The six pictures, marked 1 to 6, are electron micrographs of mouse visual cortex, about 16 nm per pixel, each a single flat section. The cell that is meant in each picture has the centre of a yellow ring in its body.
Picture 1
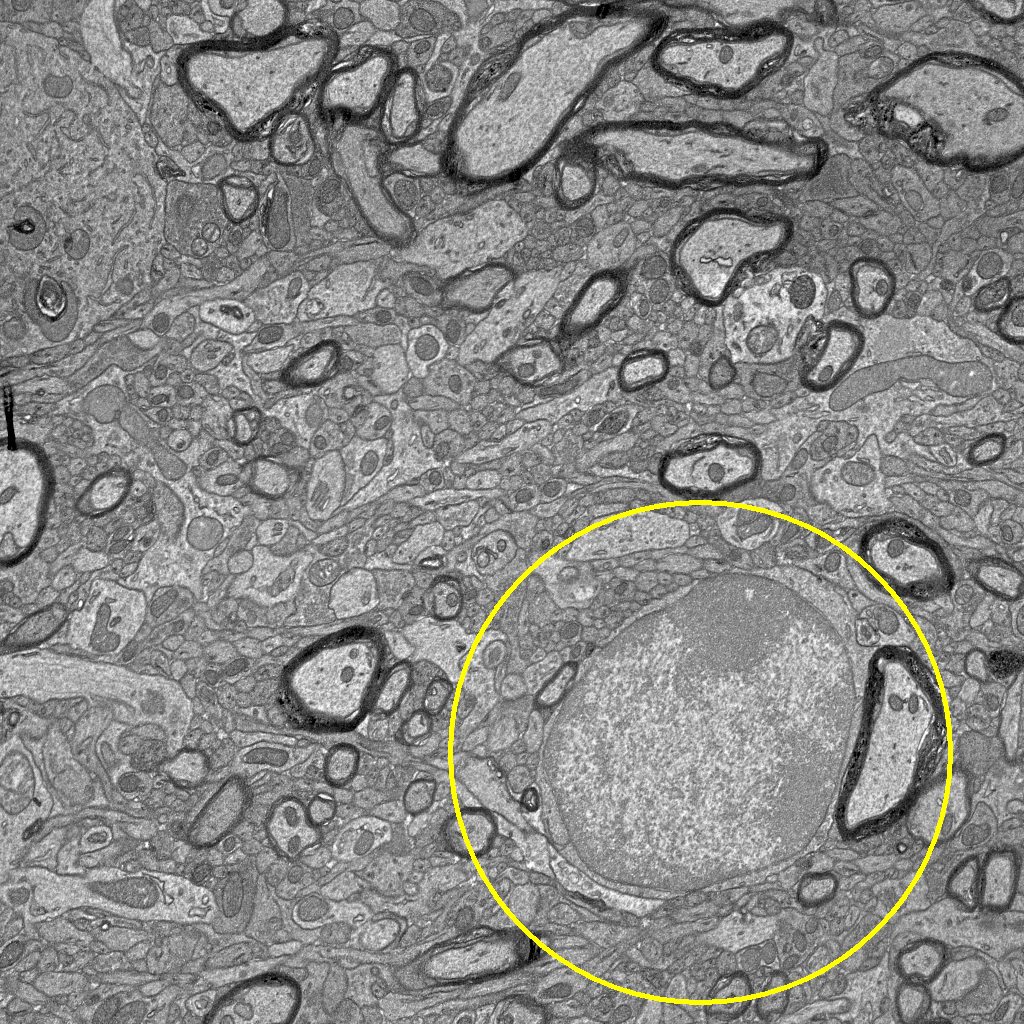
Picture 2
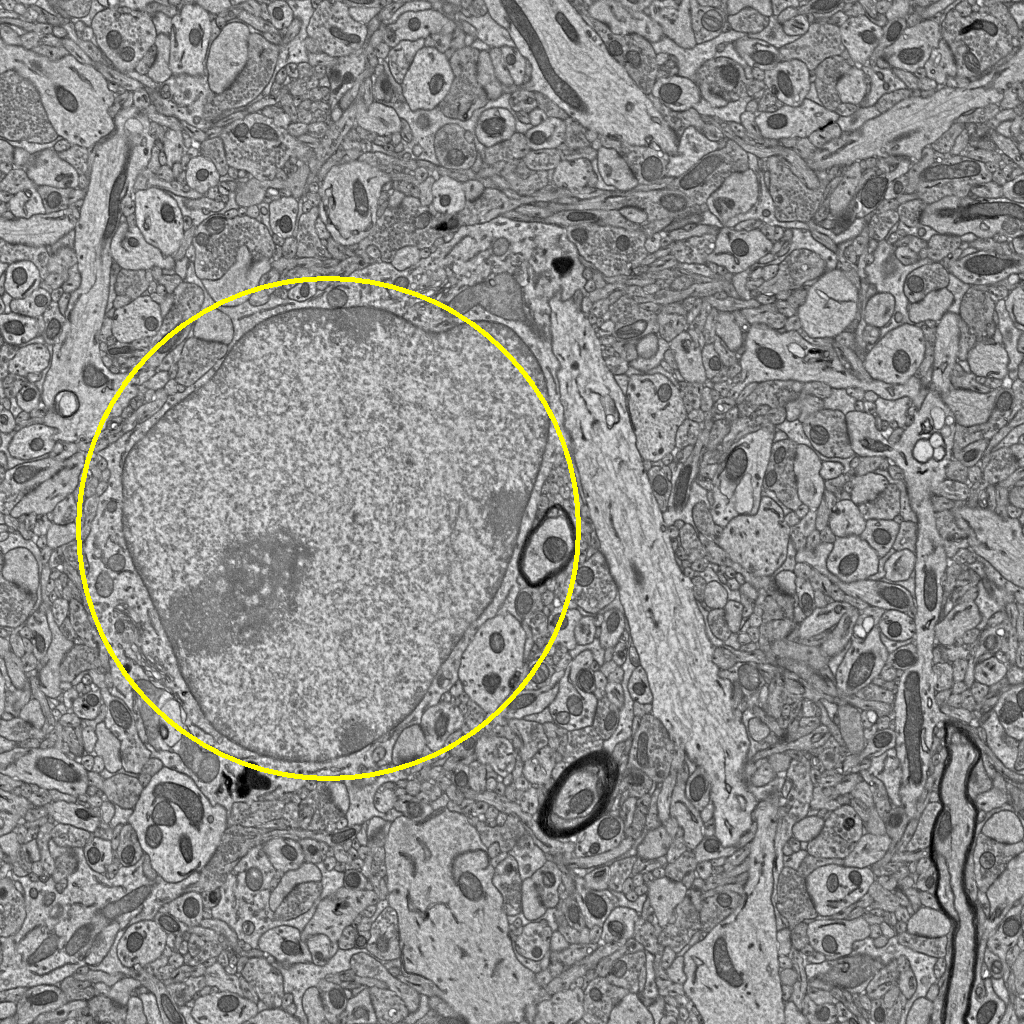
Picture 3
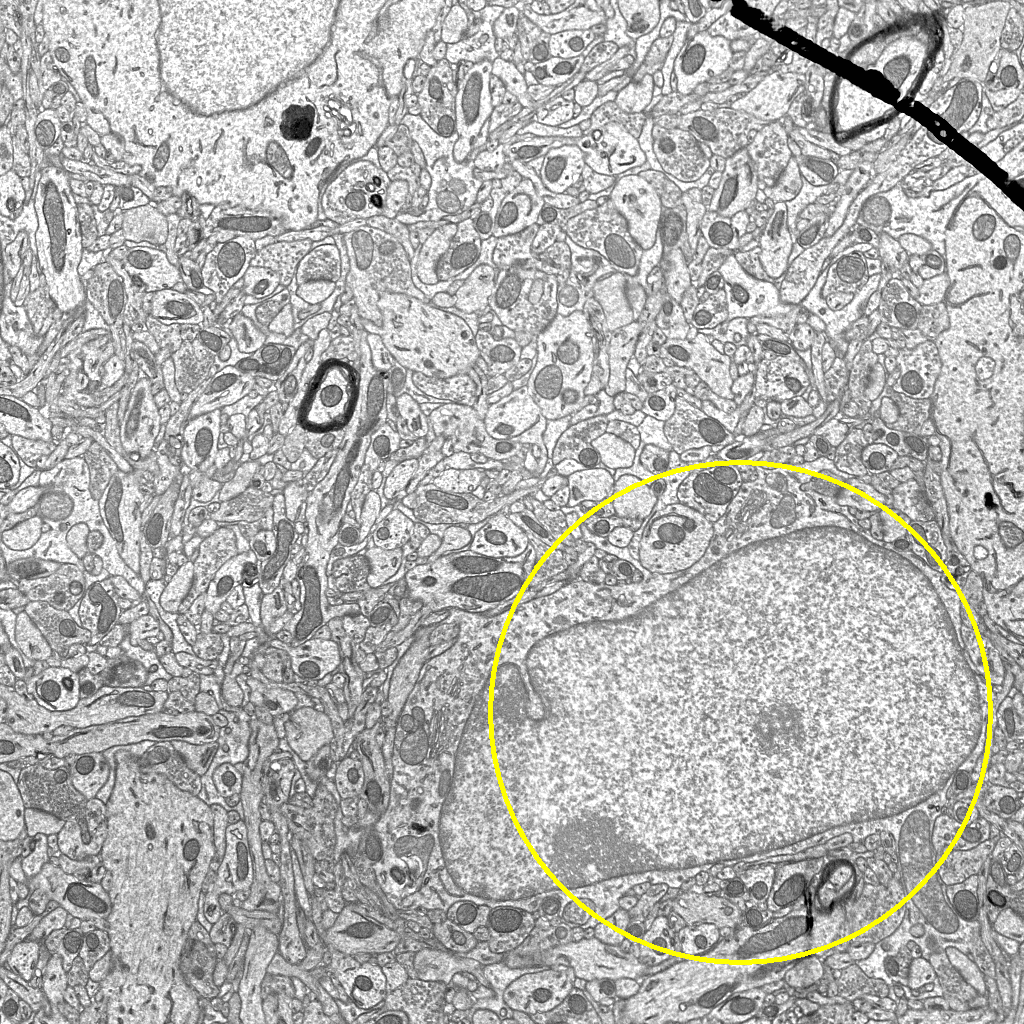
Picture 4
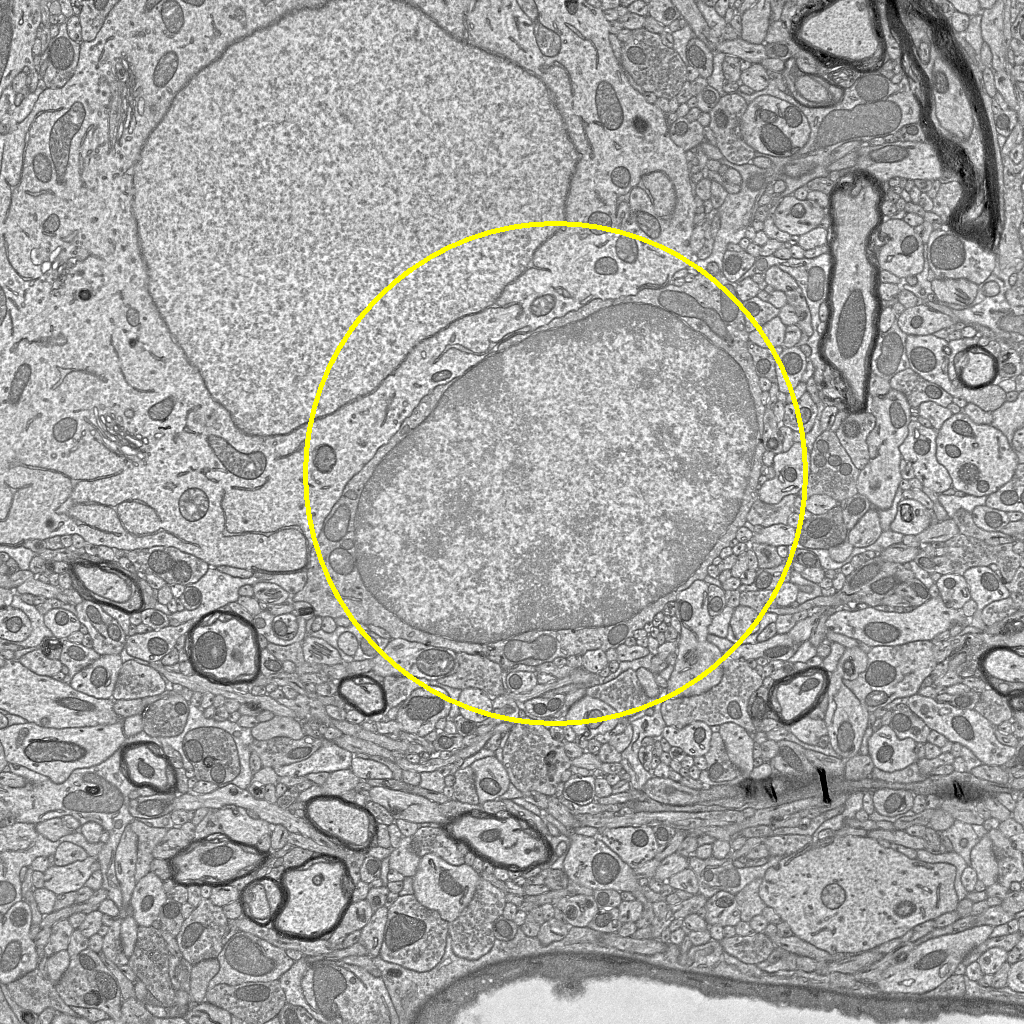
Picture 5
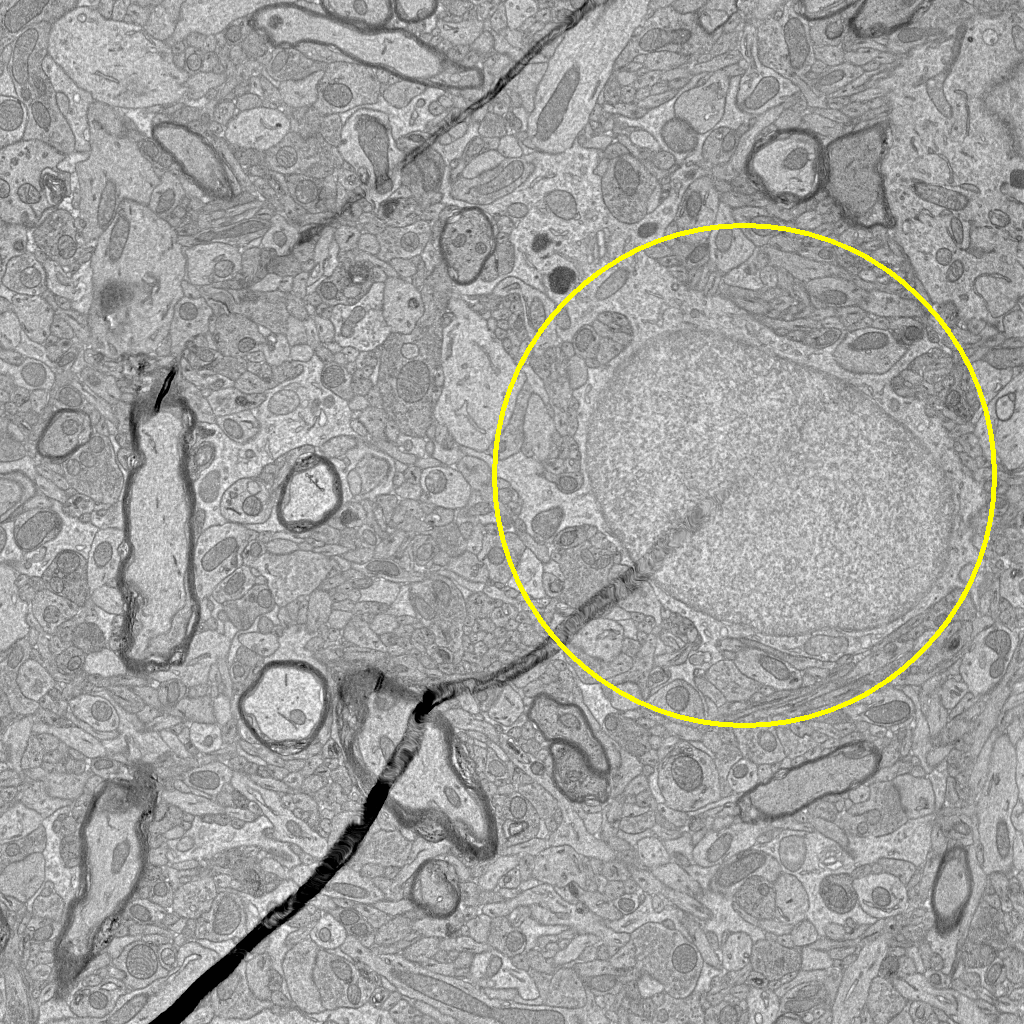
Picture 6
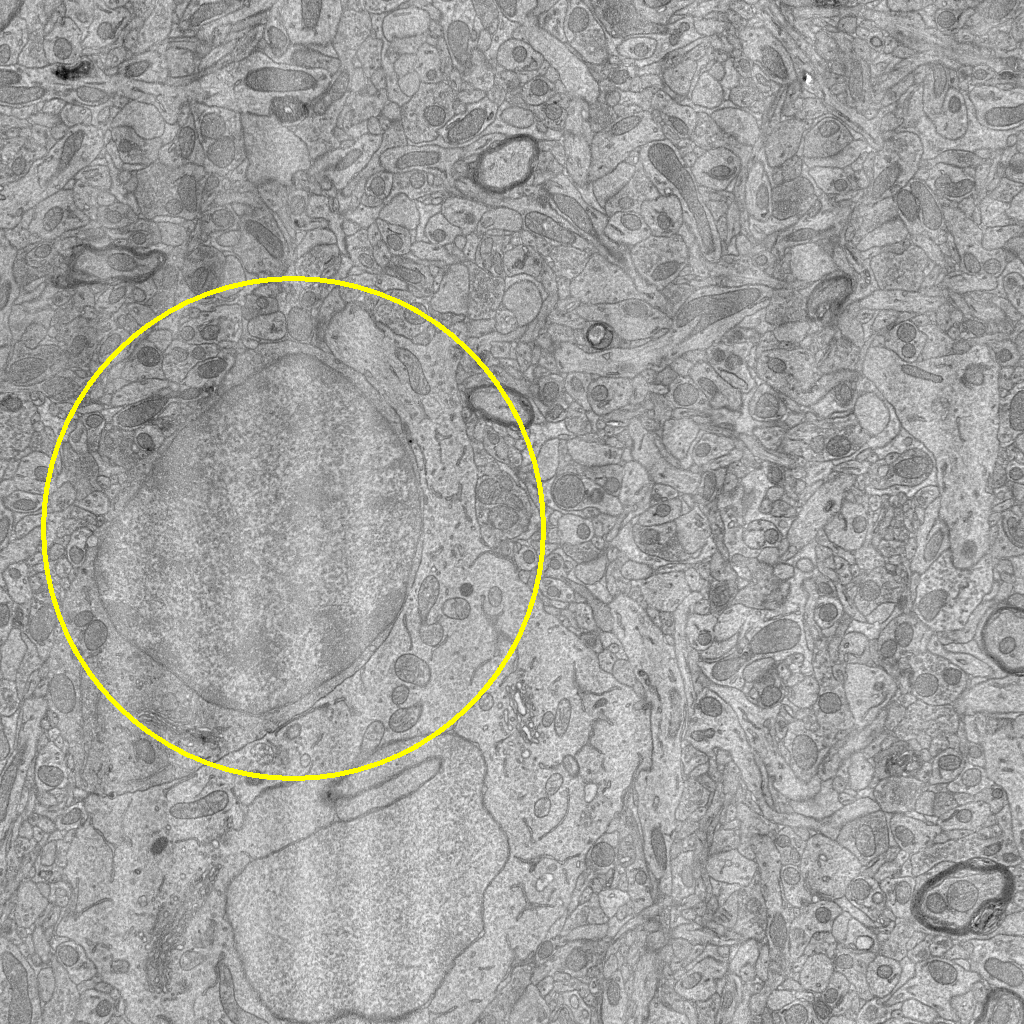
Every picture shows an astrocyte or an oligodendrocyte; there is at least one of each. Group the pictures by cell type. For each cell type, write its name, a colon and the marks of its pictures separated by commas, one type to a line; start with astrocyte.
astrocyte: 2, 3, 5
oligodendrocyte: 1, 4, 6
